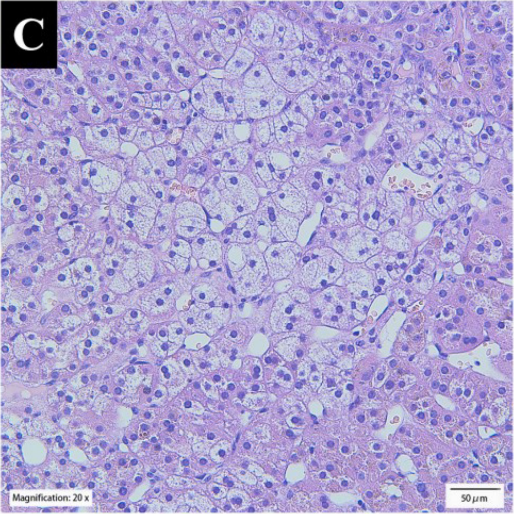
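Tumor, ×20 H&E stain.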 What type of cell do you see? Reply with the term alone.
Clear cells.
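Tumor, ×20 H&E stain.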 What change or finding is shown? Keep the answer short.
Lipid-rich and vacuolated.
